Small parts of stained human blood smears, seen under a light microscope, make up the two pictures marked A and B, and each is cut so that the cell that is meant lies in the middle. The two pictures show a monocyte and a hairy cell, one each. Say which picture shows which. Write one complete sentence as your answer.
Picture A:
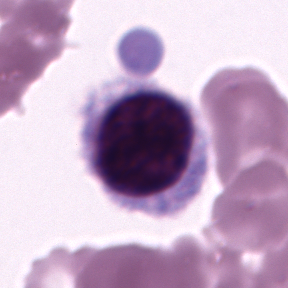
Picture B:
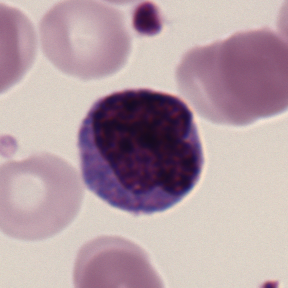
Picture A is of a hairy cell, and picture B is of a monocyte.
